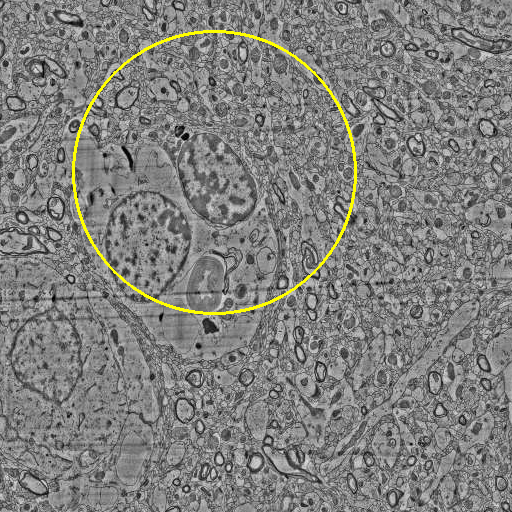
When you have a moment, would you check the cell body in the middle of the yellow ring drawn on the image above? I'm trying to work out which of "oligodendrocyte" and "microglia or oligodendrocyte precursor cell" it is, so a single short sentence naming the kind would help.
This cell body belongs to a microglial cell or oligodendrocyte precursor cell.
